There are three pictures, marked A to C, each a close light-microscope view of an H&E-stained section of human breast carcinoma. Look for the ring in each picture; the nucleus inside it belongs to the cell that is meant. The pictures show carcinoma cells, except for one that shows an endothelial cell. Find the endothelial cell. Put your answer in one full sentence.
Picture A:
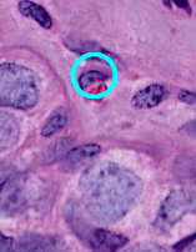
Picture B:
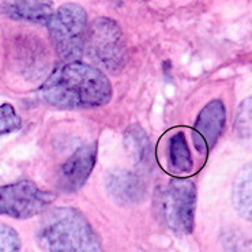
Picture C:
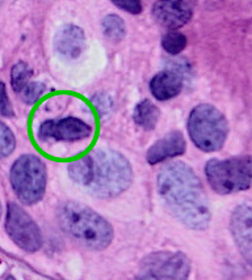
Picture A shows the endothelial cell.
